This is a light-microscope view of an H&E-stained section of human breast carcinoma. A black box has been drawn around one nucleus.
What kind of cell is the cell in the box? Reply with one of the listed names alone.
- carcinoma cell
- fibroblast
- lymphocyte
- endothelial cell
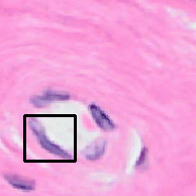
endothelial cell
